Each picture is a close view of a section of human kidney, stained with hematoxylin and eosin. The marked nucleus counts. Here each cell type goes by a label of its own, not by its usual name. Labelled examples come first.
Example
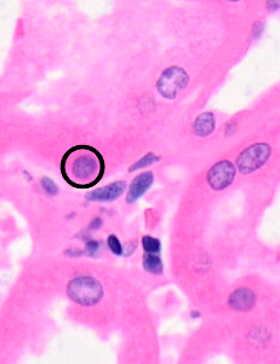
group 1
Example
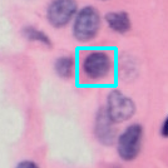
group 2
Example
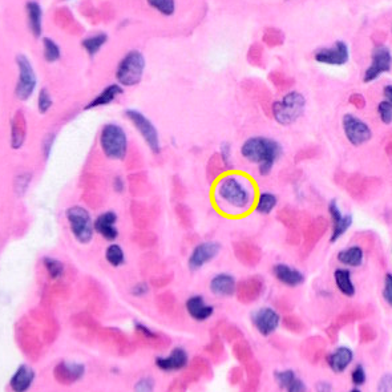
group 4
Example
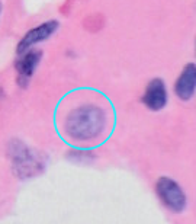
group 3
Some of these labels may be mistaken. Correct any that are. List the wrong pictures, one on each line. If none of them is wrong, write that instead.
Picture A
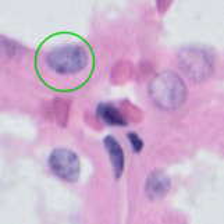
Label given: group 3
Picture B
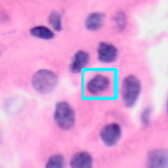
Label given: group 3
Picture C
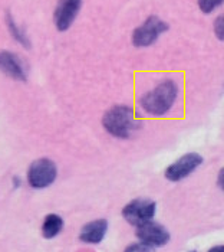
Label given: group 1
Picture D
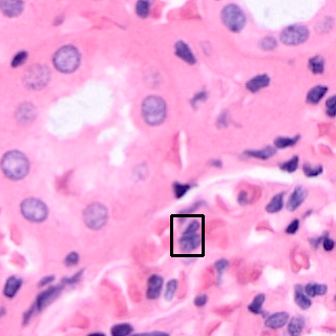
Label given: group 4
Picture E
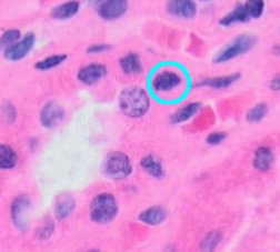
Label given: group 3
Nothing to fix; every label fits.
